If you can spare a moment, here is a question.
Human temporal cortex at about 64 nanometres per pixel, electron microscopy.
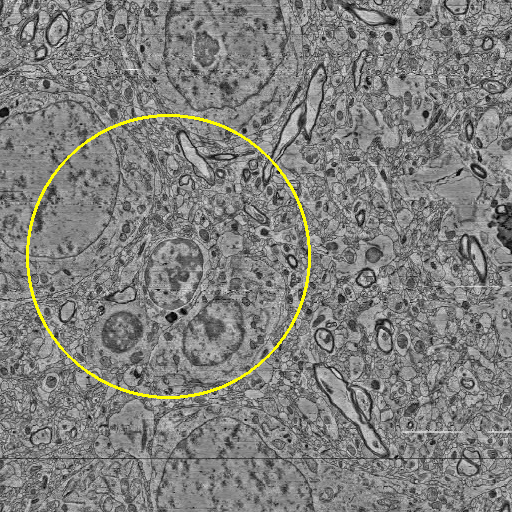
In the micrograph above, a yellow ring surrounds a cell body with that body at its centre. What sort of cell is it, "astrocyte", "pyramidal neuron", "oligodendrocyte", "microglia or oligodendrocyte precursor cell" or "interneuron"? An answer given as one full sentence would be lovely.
Centred inside the yellow ring, the cell body shown belongs to a microglial cell or oligodendrocyte precursor cell in this micrograph.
